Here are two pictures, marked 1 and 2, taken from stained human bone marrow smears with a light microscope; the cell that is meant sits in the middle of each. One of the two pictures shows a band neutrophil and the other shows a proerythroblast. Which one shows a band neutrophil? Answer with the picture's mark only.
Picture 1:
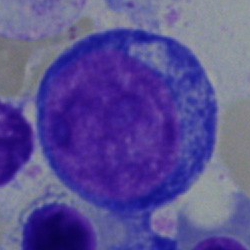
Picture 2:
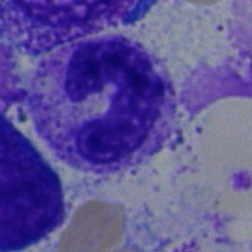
2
